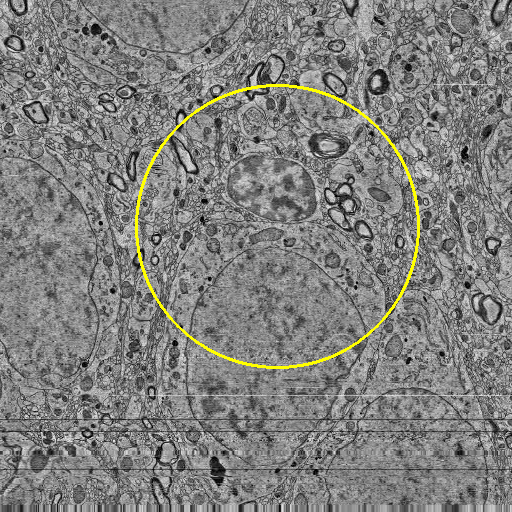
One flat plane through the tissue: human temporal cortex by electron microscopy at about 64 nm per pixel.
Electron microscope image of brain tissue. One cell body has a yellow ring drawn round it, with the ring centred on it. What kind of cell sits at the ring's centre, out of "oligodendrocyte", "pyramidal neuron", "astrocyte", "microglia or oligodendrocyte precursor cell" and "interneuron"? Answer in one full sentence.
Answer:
It is a microglial cell or oligodendrocyte precursor cell whose cell body sits at the centre of the yellow ring.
